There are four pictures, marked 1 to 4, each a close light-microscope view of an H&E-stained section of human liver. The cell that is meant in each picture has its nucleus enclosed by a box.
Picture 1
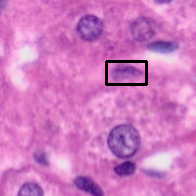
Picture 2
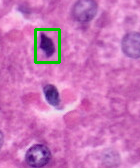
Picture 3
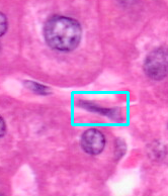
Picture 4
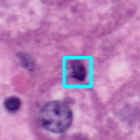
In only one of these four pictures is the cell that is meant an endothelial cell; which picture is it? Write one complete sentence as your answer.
Picture 1 shows the endothelial cell.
